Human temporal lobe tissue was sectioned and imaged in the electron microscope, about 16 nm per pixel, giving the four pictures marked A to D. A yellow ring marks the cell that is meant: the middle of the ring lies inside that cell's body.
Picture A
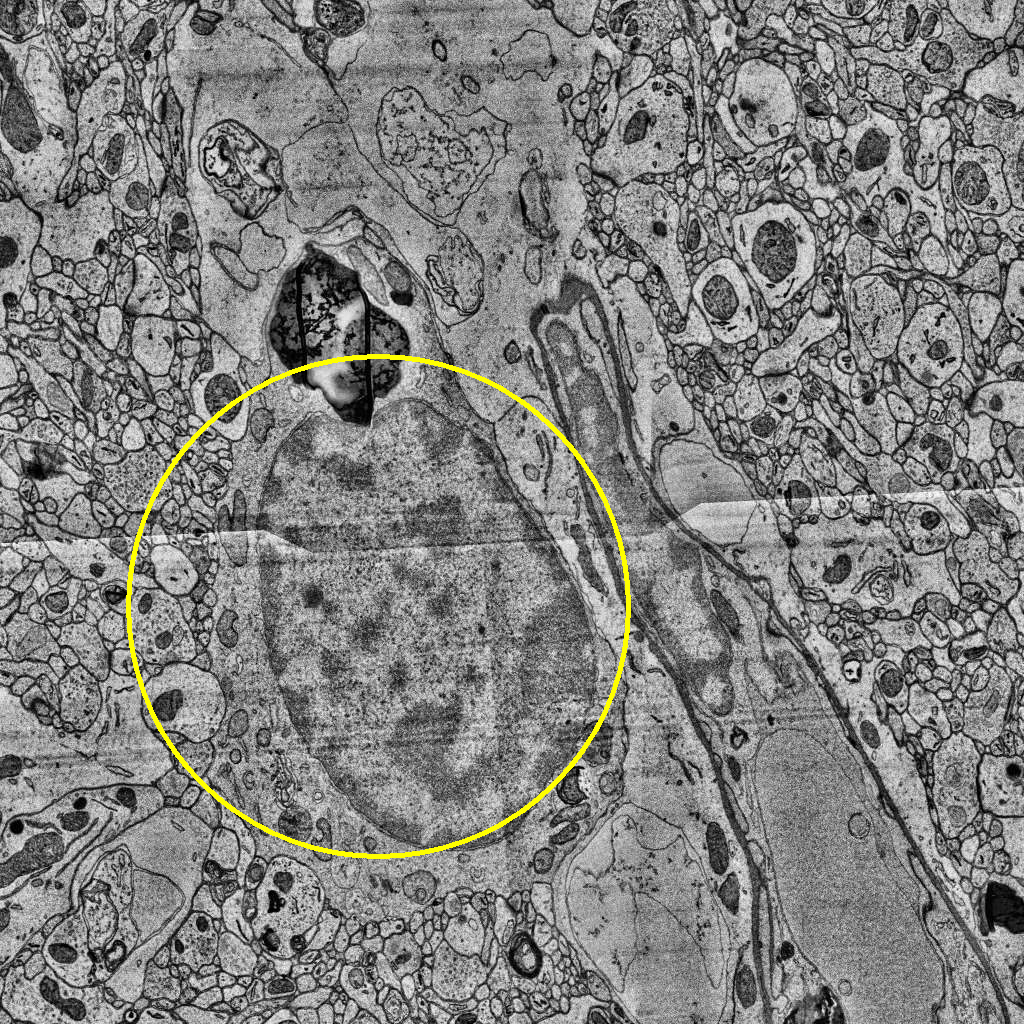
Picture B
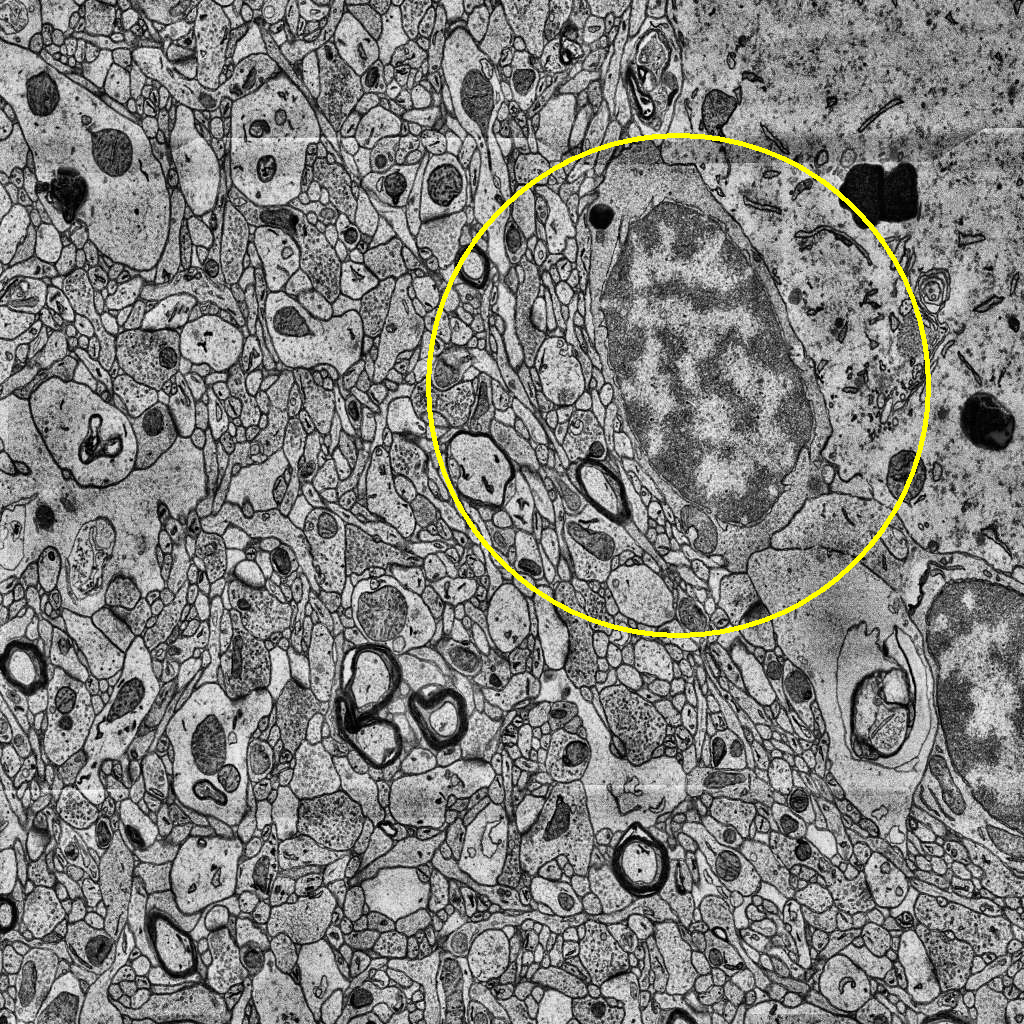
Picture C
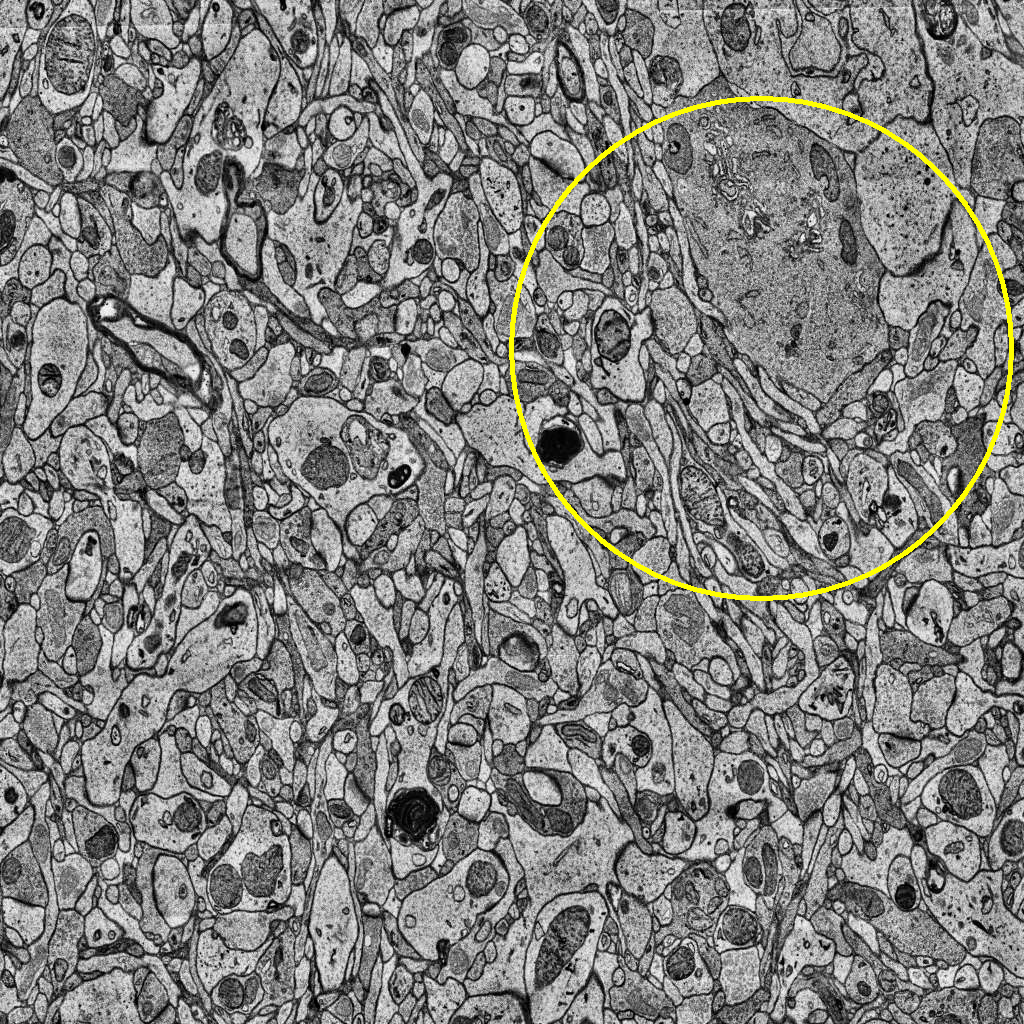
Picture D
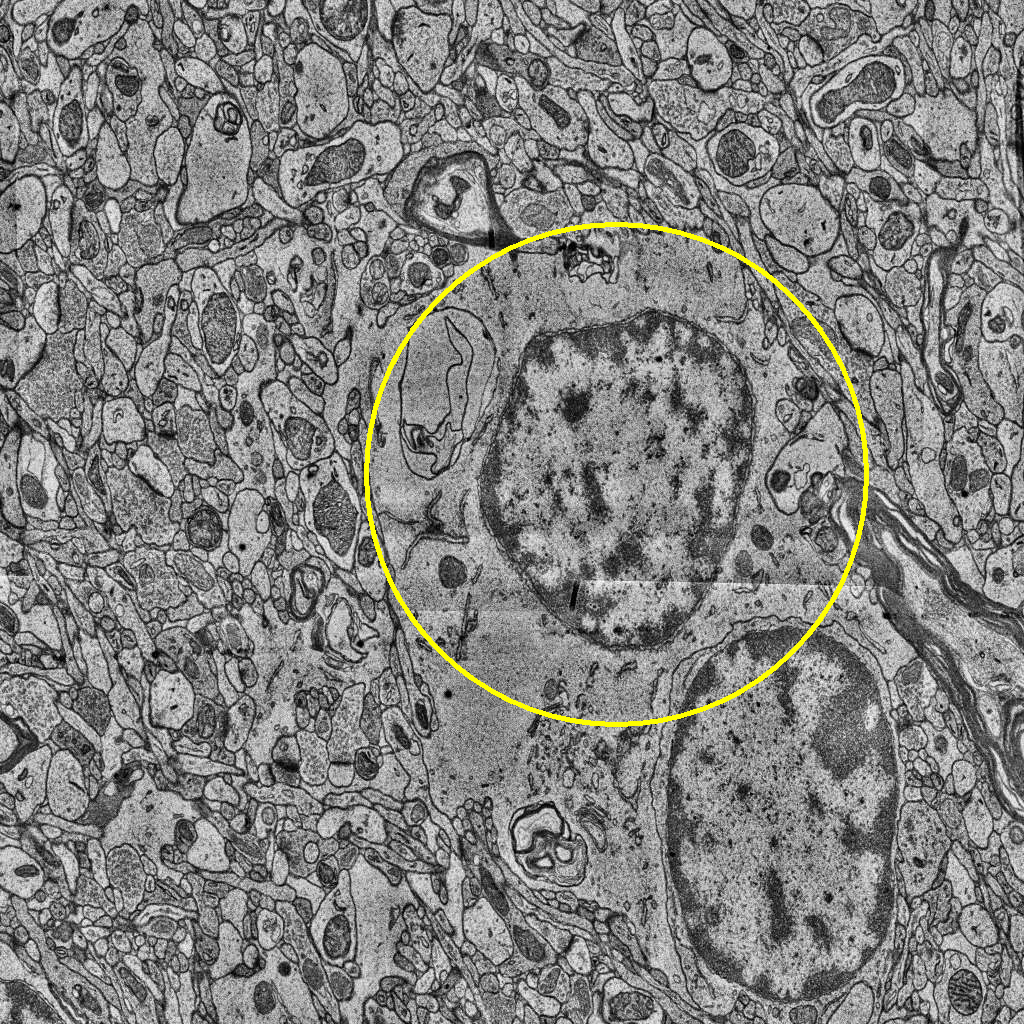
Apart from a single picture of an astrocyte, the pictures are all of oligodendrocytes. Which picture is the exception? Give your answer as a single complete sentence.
Picture D shows the astrocyte.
